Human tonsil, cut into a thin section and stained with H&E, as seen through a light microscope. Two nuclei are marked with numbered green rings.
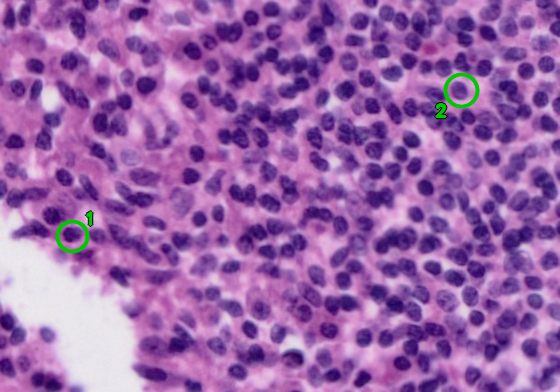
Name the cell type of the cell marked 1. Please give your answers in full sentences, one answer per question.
Among the marked cells, number 1 is a plasma cell.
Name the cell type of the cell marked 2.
Marked with the number 2, this cell is a small lymphocyte.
